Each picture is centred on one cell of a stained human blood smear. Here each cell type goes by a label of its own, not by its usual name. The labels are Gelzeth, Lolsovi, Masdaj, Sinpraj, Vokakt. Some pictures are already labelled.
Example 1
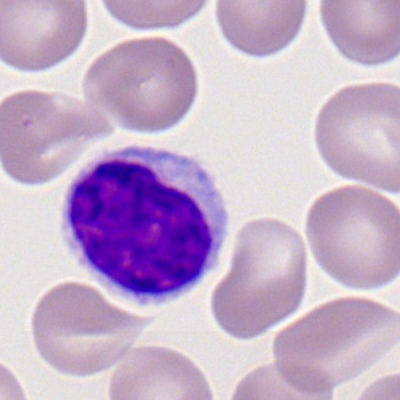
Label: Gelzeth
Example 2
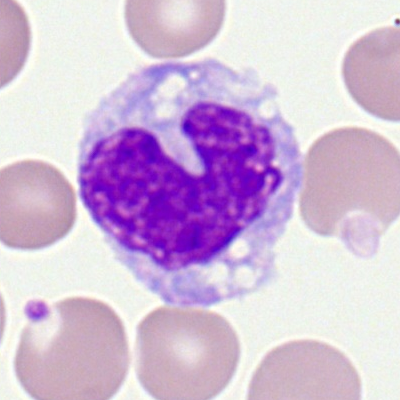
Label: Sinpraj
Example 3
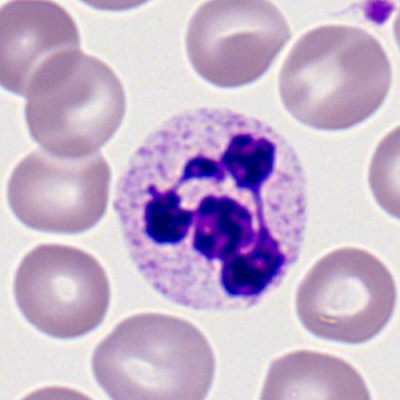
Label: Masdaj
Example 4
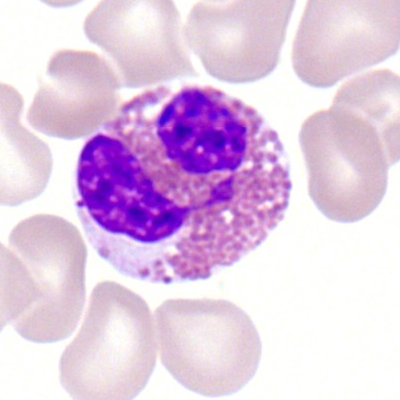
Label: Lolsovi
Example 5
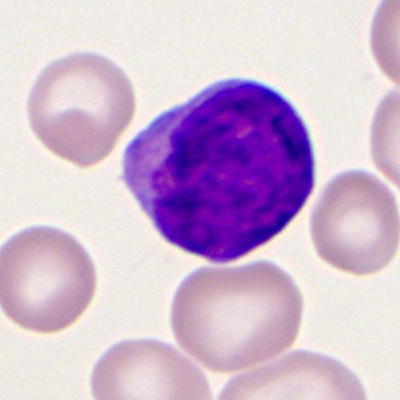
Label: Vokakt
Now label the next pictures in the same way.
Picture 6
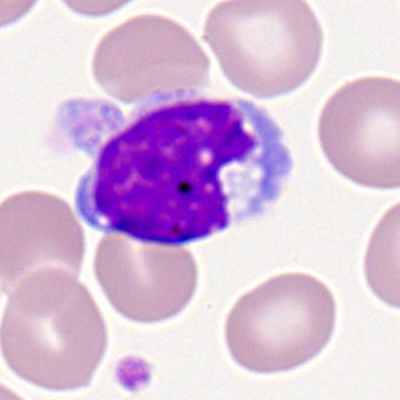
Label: Sinpraj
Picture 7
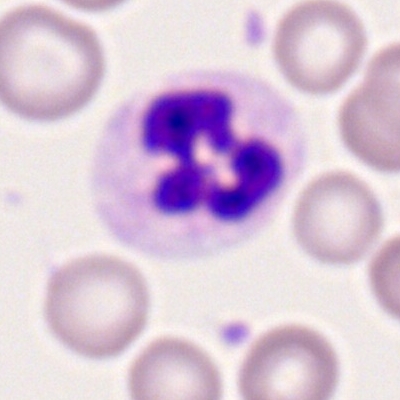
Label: Masdaj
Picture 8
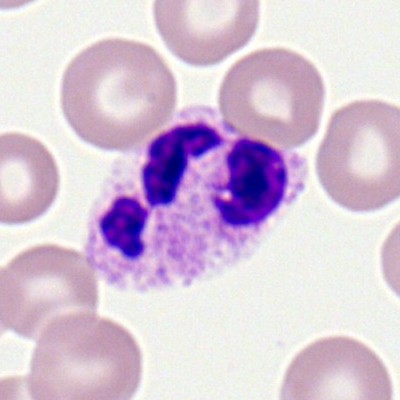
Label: Masdaj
